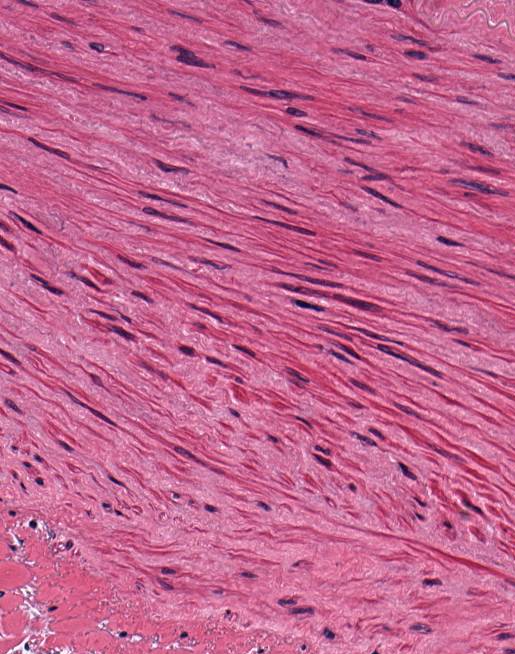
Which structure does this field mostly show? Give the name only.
tunica media of an artery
